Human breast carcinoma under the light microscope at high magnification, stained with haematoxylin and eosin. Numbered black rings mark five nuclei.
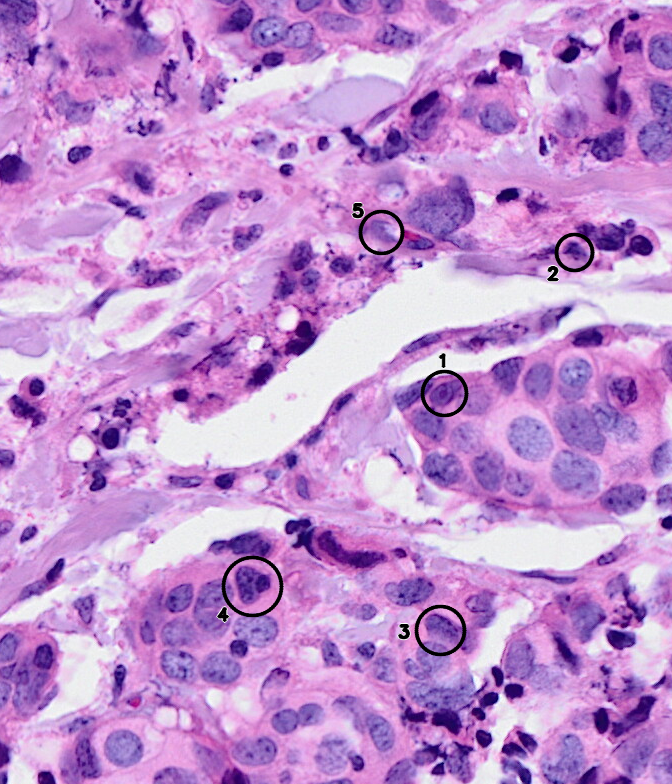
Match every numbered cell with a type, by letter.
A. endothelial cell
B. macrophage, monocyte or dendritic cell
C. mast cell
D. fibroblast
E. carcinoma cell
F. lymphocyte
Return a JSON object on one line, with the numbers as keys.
{"1": "E", "2": "F", "3": "E", "4": "E", "5": "A"}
